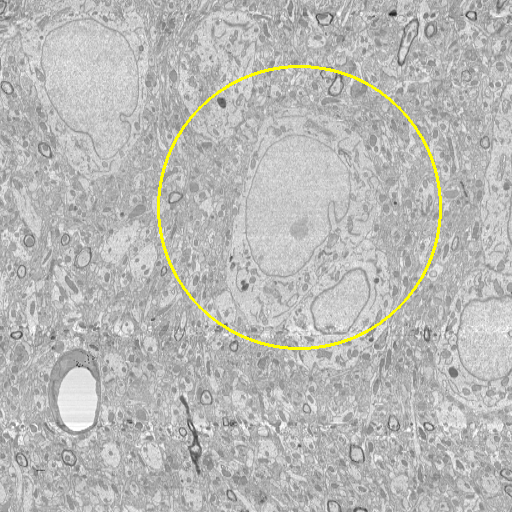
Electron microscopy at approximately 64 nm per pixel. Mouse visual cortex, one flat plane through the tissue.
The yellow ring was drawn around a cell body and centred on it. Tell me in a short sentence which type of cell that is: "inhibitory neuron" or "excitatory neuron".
The cell at the ring's centre is an excitatory neuron.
